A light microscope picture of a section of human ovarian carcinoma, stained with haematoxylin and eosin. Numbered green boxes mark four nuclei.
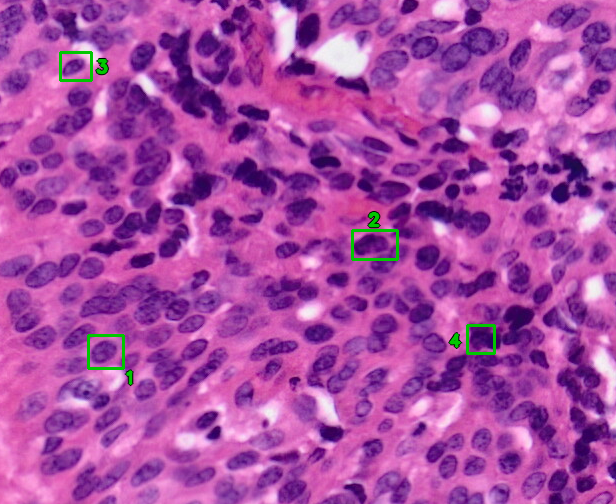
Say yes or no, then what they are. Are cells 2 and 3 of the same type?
No, just to clarify, cell 2 is a carcinoma cell and cell 3 is a macrophage or monocyte.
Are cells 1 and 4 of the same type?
Yes, the two cells, 1 and 4, are both carcinoma cells.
